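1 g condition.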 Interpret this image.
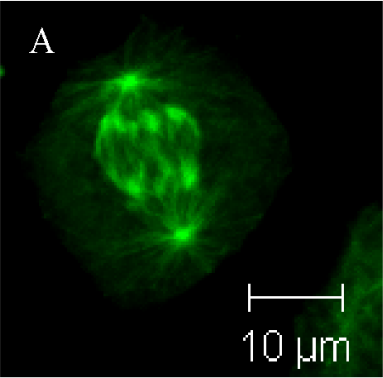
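Two bright, compact poles lie at opposite ends, each sending fine astral fibres out into the cytoplasm. Bundles of spindle fibres run between the poles and crowd toward the middle of the cell. A faint diffuse green background outlines the rounded cell body.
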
